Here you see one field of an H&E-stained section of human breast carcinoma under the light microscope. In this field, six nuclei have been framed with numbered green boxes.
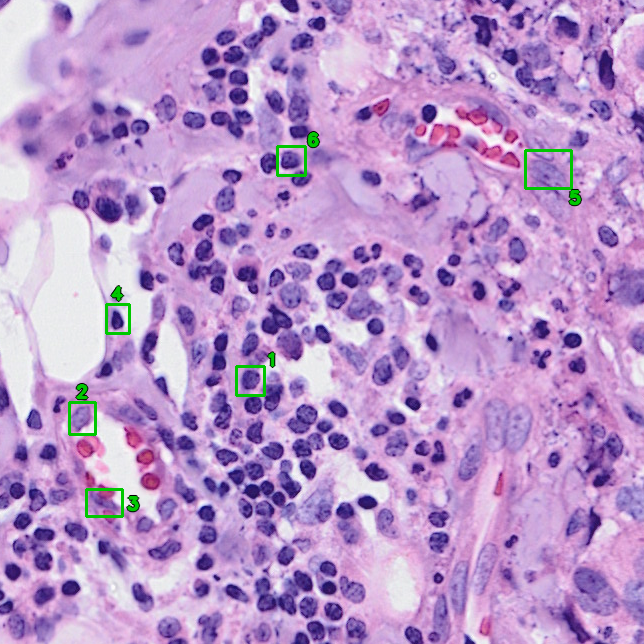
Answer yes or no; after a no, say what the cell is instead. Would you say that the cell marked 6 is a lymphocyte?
Yes.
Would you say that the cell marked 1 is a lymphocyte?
Yes.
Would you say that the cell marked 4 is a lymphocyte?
Yes.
